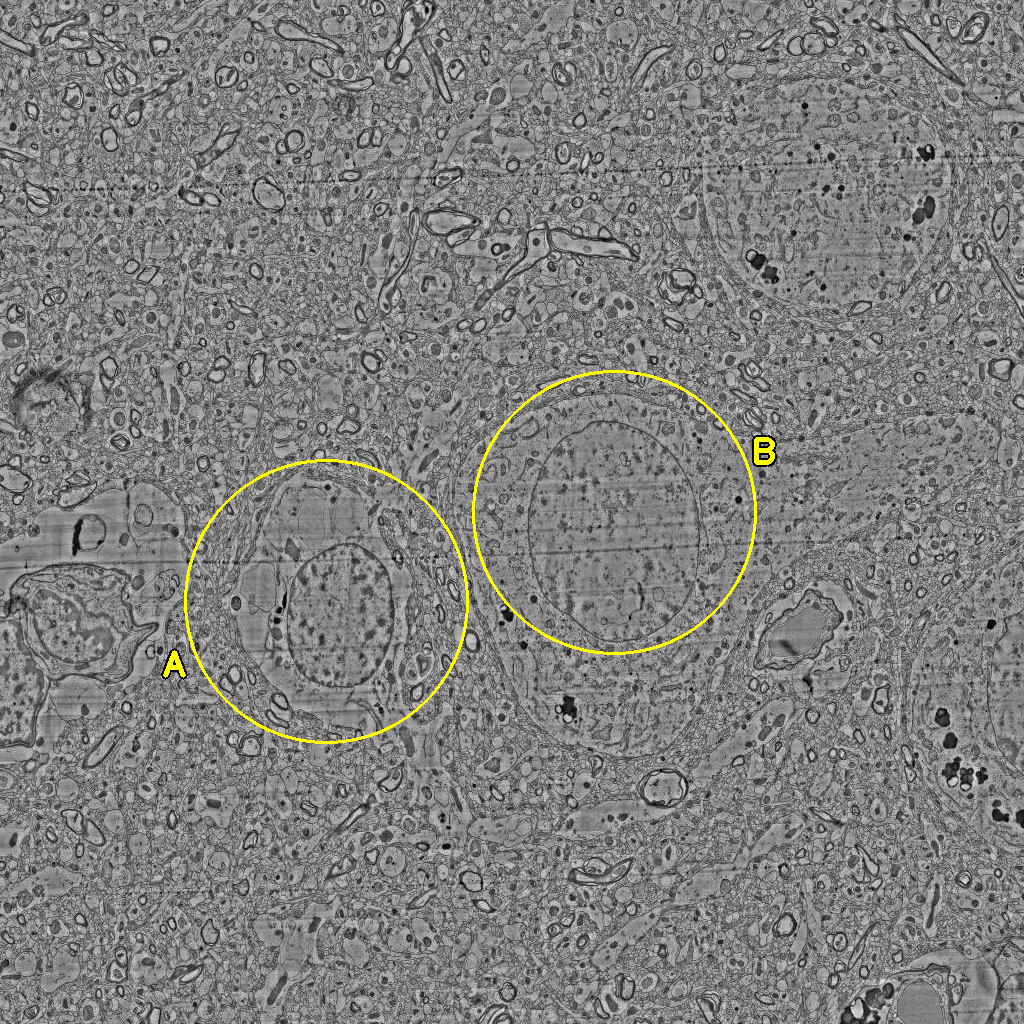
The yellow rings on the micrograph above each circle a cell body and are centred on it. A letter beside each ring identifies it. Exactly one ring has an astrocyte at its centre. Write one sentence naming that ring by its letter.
Ring A is the one.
